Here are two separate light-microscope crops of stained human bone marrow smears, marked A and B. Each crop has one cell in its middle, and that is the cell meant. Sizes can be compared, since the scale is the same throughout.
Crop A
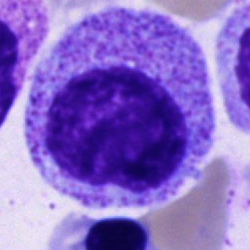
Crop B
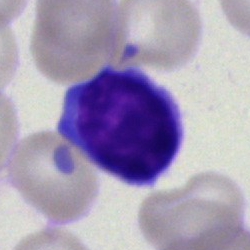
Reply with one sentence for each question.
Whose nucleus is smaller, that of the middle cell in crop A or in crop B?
The nucleus in crop B is smaller; the one in crop A has about 1.5 times its area.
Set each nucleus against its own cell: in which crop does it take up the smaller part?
Of the two, the nucleus in crop A leaves more room for cytoplasm.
